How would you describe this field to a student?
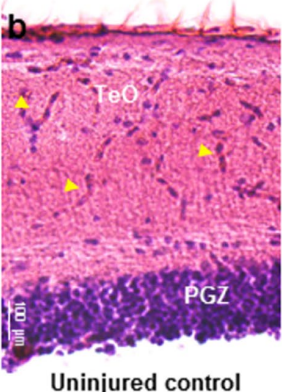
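A section through the optic tectum shows, at the bottom, a dense band of tightly packed small cells with dark purple nuclei. Above it lie broad, pale pink superficial layers of fine fibrous neuropil with only scattered elongated nuclei.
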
